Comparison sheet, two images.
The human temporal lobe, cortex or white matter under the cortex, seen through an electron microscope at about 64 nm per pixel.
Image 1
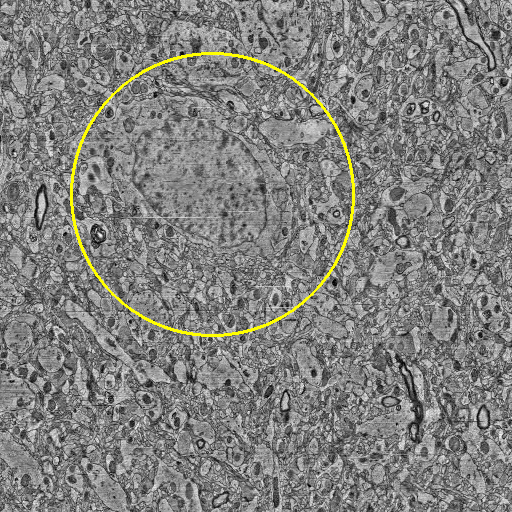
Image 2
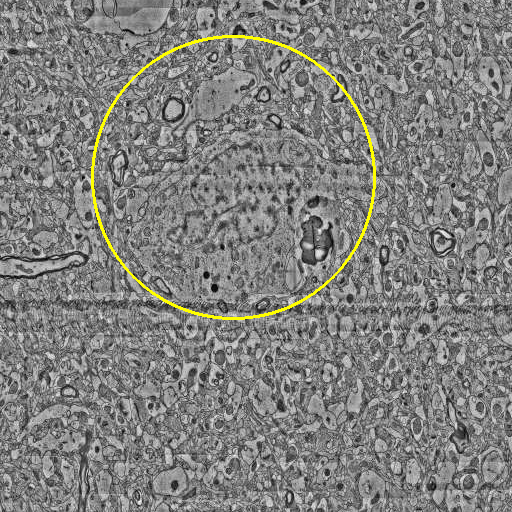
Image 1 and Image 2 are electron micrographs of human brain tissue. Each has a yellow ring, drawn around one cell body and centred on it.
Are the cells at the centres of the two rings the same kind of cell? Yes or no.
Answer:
yes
